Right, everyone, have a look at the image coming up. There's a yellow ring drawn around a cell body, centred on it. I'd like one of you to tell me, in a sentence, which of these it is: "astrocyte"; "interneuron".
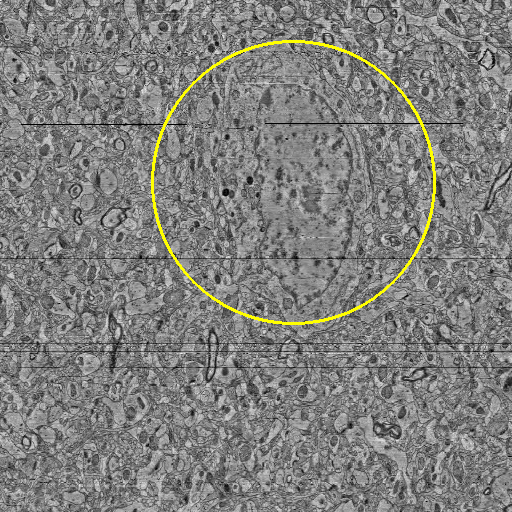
The yellow ring sits on an interneuron.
